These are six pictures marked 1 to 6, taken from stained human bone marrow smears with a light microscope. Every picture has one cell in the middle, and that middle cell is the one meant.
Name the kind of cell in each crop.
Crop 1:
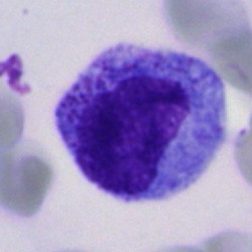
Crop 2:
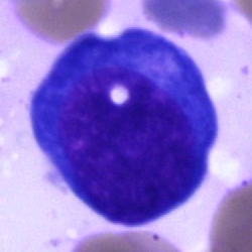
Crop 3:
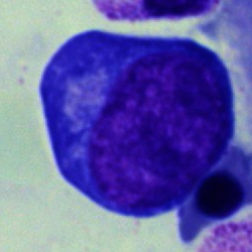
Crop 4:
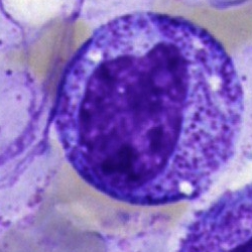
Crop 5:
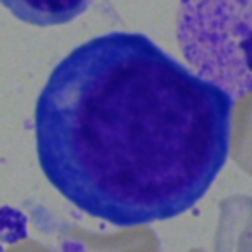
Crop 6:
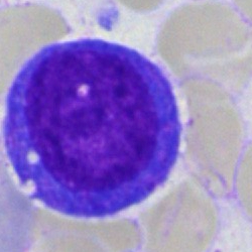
1: promyelocyte
2: proerythroblast
3: proerythroblast
4: promyelocyte
5: proerythroblast
6: promyelocyte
